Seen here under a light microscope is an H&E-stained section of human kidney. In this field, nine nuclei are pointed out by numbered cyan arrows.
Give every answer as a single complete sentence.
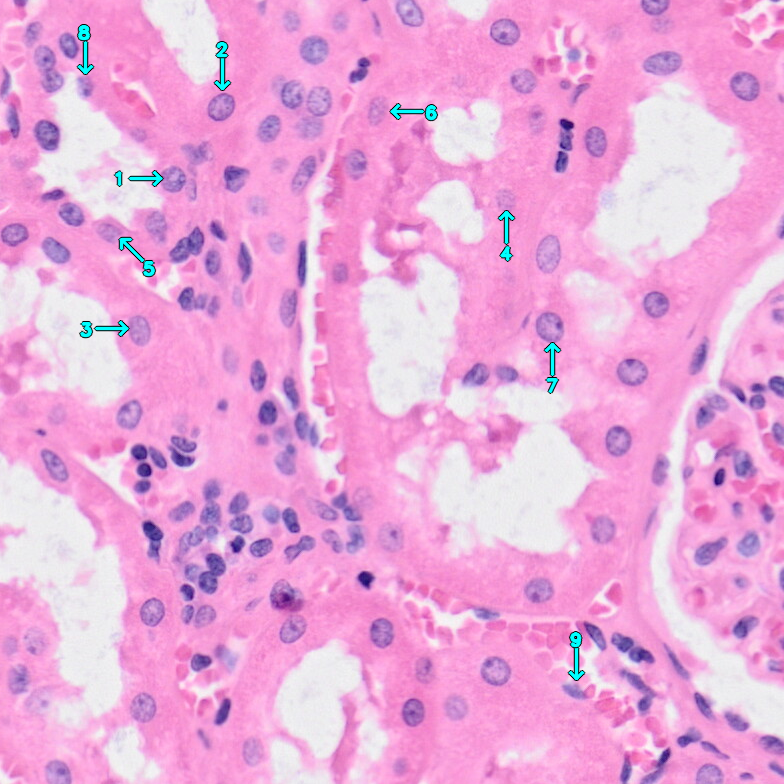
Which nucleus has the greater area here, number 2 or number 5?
Of the two, number 2 is bigger and takes up about 1.5 times the area of number 5.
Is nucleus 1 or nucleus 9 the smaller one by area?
Nucleus 9 is the smaller one; nucleus 1 covers about 1.5 times its area.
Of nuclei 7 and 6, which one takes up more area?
The larger nucleus is 7, at roughly 2 times the area of 6.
